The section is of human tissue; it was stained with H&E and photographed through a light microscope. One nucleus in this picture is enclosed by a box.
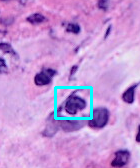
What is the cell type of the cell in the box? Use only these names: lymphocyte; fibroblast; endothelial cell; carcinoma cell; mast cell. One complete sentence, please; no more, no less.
Right, so the cell in the box is a lymphocyte, to answer that.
